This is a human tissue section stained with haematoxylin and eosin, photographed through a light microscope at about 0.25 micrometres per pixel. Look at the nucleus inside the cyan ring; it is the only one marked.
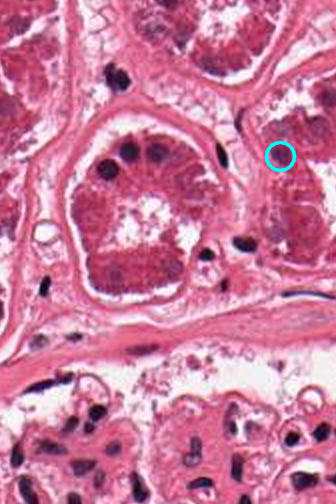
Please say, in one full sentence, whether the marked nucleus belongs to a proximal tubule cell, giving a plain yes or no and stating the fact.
Yes, the nucleus indicated by the marking belongs to a proximal tubule cell.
